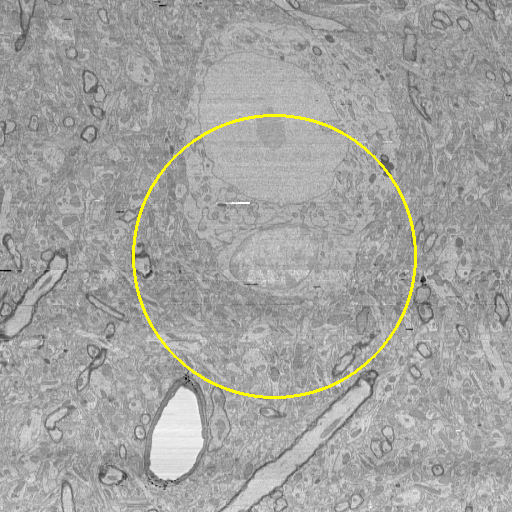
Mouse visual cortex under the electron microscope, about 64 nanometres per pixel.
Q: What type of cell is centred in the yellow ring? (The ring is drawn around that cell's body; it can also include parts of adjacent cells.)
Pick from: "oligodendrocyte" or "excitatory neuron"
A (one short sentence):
The yellow ring is centred on an oligodendrocyte.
